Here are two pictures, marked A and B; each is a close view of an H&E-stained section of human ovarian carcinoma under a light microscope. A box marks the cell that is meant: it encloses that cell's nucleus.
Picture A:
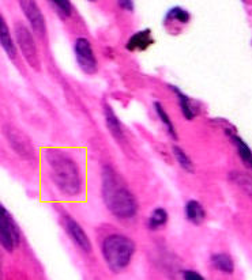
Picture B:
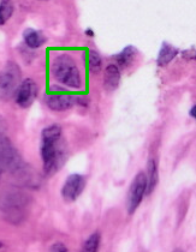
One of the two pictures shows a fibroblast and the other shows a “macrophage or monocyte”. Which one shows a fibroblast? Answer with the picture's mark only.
A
